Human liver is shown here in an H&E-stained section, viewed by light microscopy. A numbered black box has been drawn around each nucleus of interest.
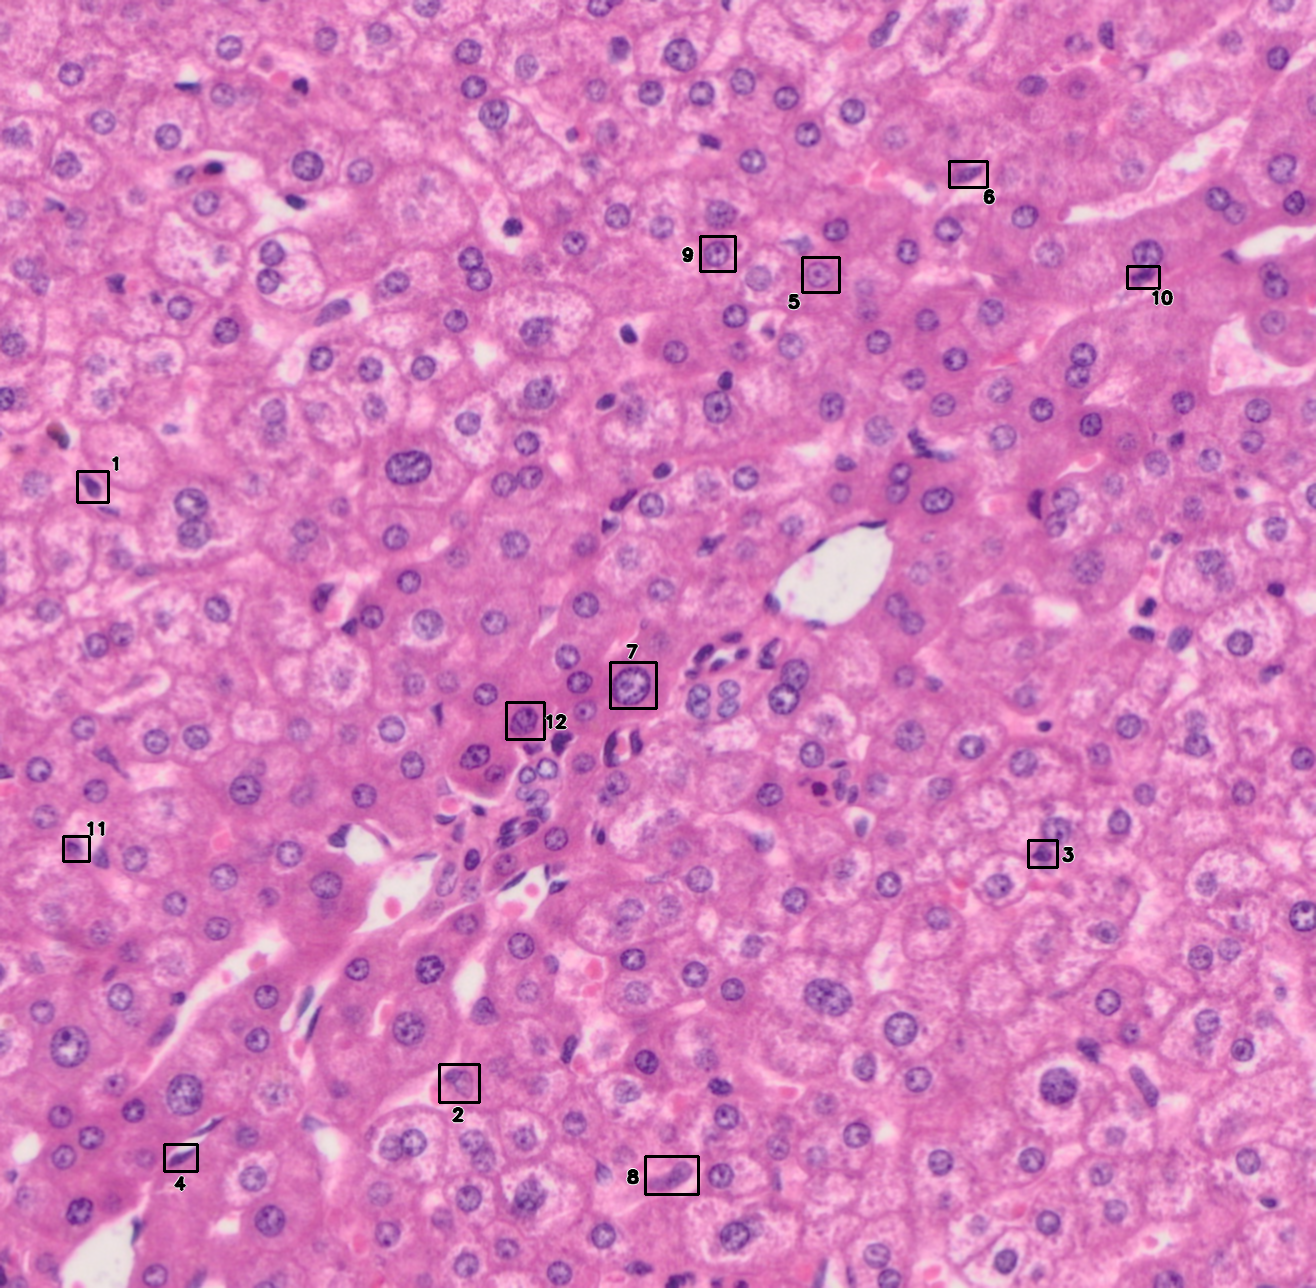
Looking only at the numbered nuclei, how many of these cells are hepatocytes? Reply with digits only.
4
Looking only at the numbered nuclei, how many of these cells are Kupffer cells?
4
